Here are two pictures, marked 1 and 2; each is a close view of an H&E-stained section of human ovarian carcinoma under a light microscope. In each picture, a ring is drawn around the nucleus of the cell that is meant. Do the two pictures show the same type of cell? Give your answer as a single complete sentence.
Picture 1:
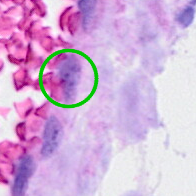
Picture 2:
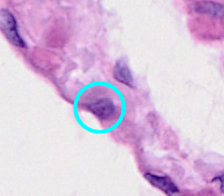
Yes, they are the same type: both are endothelial cells.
